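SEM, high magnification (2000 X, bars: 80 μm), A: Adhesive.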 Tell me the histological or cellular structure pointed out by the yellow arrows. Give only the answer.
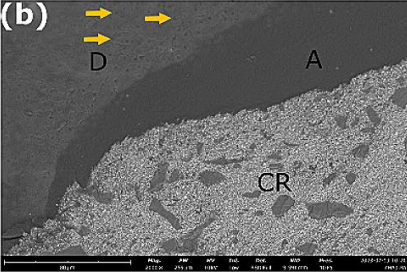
open dentin tubules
